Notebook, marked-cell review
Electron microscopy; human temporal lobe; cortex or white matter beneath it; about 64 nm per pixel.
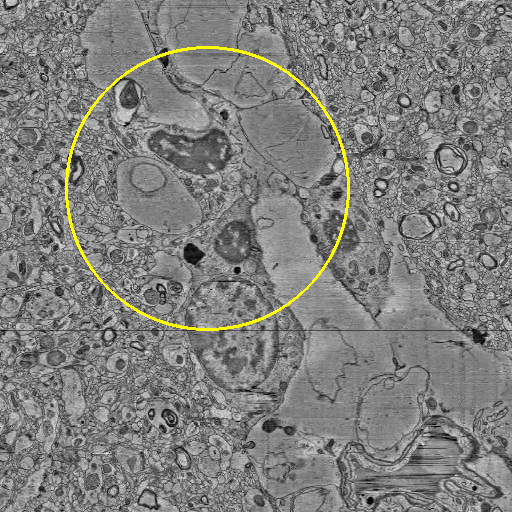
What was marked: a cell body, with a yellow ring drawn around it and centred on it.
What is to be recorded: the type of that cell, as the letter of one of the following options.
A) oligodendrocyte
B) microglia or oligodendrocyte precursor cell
B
